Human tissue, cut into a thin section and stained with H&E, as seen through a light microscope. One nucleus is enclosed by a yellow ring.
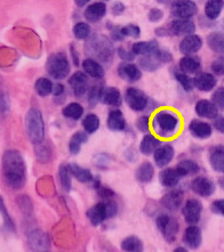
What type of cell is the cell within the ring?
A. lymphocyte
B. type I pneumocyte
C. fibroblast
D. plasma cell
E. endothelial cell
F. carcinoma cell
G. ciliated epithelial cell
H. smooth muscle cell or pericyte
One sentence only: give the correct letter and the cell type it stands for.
Since the cell within the ring is a lymphocyte, the right option is A.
